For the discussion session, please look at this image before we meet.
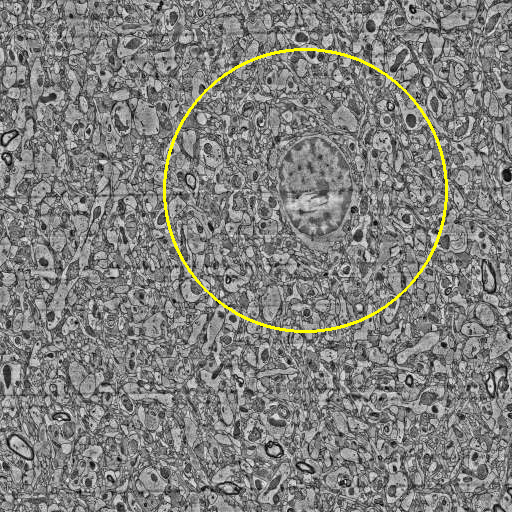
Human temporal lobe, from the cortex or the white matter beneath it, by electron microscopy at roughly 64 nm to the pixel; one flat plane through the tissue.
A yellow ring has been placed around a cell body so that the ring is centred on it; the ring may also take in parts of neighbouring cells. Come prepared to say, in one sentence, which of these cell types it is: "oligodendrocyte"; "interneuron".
The cell centred in the ring is an oligodendrocyte.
